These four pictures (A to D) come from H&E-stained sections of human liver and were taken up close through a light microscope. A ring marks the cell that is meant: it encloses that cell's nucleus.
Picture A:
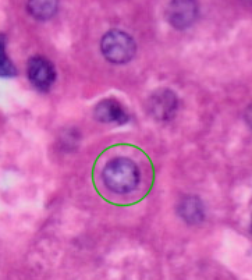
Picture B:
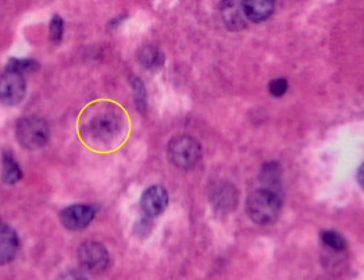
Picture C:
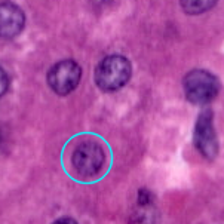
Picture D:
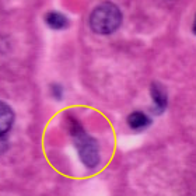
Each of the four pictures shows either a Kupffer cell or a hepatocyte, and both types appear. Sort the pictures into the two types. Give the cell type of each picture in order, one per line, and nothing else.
hepatocyte
hepatocyte
hepatocyte
Kupffer cell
